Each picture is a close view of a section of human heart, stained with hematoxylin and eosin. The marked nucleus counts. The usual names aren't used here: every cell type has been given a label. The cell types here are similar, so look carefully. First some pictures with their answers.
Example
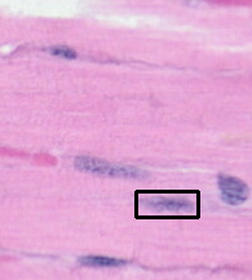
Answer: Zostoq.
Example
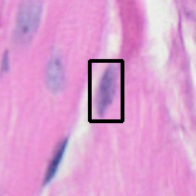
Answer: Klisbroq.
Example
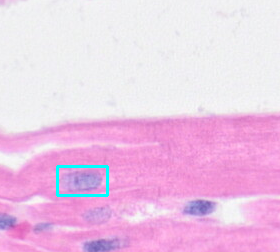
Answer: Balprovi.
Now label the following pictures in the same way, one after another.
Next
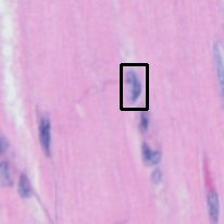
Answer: Klisbroq.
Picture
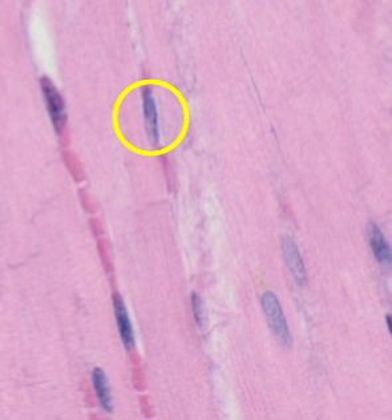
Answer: Zostoq.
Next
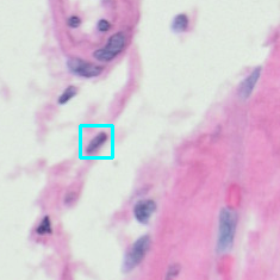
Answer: Klisbroq.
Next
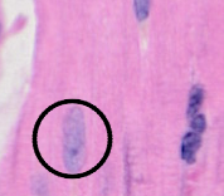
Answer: Balprovi.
